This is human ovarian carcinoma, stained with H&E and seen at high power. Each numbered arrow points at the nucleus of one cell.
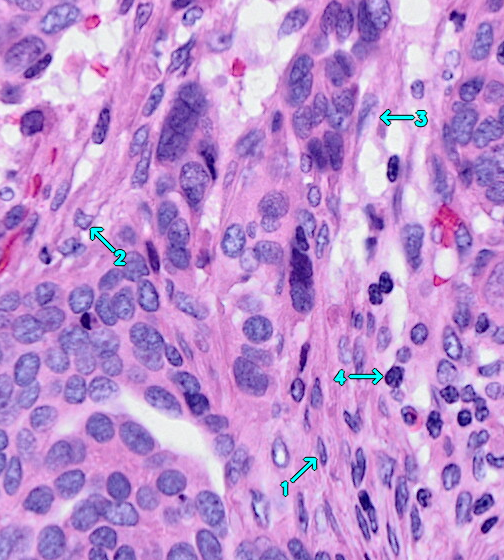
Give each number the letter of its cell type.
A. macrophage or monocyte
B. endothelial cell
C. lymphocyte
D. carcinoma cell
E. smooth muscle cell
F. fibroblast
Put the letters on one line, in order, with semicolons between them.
F; F; F; C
